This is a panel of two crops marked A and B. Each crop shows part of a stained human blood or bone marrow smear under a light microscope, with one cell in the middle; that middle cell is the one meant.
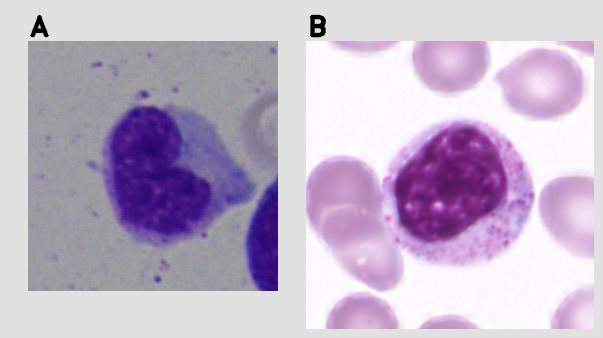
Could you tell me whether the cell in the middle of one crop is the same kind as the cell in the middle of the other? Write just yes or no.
yes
